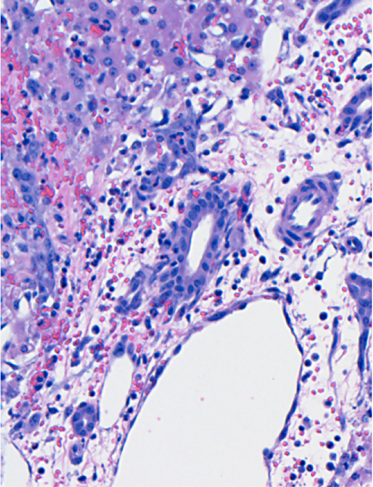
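This field shows a portal area of the liver, where small bile ducts lie in loose, pale connective tissue. The ducts are lined by a single layer of cuboidal epithelial cells with dark, oval nuclei surrounding a small lumen. A large, thin-walled vessel lies in the lower part of the field, and scattered red blood cells are spread through the loose stroma. At the upper left the tissue is pink and cellular, with less distinct cell outlines.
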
